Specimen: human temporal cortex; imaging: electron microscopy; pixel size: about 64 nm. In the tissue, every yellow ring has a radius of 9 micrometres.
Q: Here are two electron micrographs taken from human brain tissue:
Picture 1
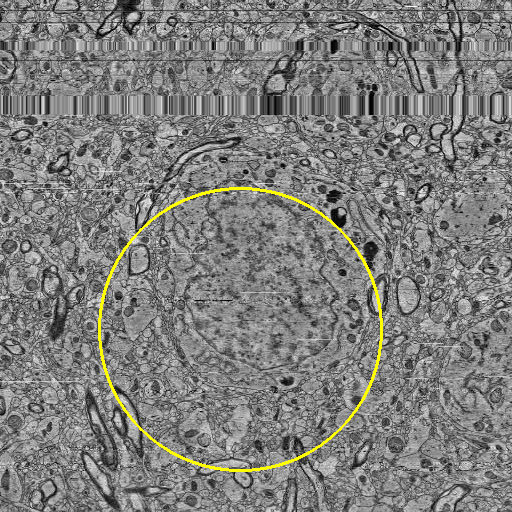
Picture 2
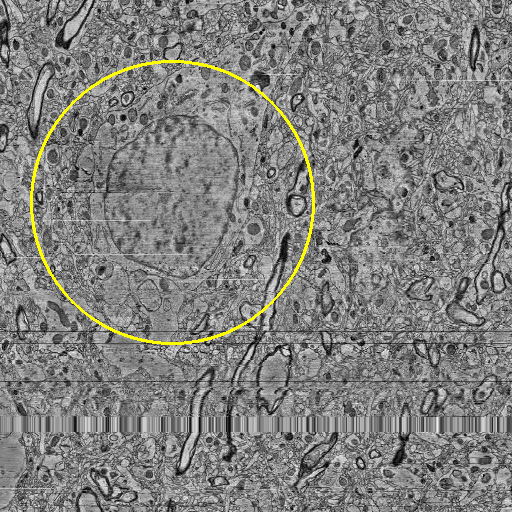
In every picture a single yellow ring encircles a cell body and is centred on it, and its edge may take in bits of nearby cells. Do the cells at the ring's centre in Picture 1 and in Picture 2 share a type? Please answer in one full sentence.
Yes, the cells at the ring's centre in Picture 1 and Picture 2 share a type.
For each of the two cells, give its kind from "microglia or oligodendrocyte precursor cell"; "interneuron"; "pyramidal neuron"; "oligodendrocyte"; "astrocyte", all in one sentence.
Each cell, in the first picture and the second, is an interneuron.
